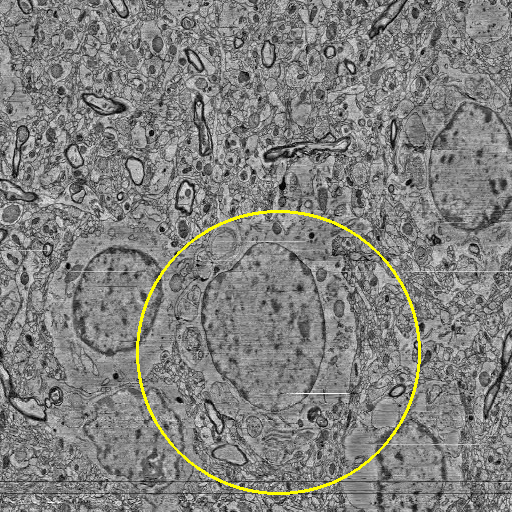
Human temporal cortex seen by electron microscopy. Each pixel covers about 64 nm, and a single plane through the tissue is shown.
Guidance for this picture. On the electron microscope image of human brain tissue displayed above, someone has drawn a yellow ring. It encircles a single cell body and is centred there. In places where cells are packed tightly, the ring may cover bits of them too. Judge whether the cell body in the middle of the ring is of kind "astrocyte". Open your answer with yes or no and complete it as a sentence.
Yes, that kind matches the cell whose body lies at the ring's centre in the image above.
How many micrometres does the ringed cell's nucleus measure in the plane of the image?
The nucleus works out at approximately 11 by 8 micrometres in this plane.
